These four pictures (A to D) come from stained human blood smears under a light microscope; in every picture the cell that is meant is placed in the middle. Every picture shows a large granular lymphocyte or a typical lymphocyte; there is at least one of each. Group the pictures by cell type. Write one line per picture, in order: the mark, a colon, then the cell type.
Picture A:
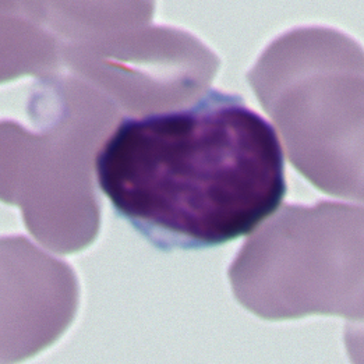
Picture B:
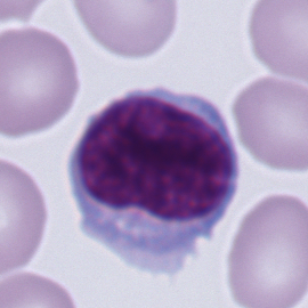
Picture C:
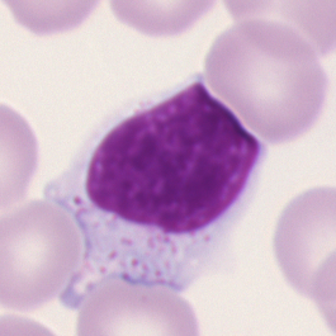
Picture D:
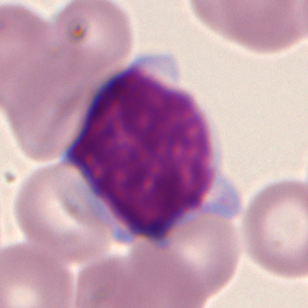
A: typical lymphocyte
B: typical lymphocyte
C: large granular lymphocyte
D: large granular lymphocyte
